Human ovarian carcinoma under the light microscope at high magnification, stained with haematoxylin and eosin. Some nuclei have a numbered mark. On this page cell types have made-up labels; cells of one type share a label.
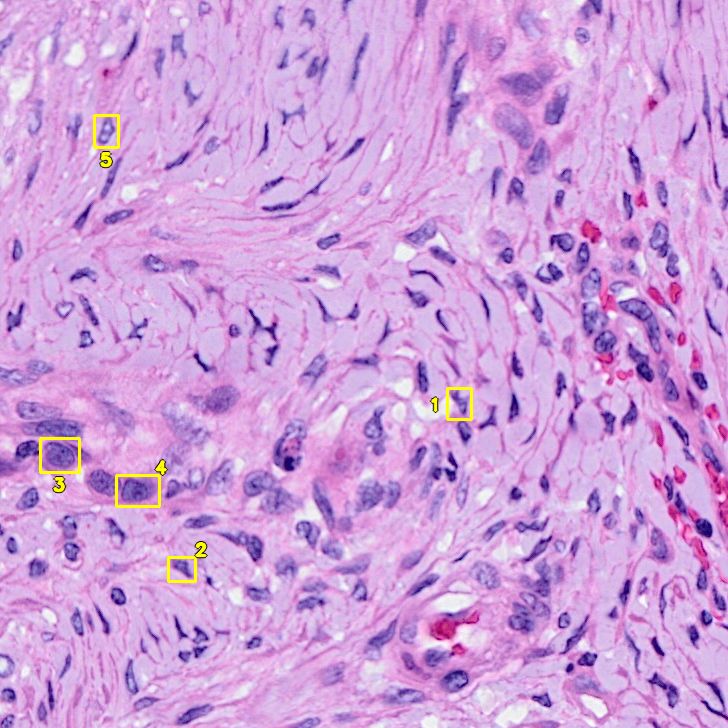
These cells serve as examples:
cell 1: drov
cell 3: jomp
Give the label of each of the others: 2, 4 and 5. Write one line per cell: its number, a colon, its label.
2: drov
4: jomp
5: drov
